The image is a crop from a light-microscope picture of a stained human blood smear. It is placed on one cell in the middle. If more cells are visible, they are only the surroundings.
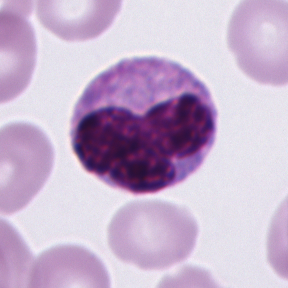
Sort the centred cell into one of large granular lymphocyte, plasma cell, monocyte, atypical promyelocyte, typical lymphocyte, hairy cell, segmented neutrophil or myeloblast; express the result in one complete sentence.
The cell around which this crop is centred is a segmented neutrophil.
